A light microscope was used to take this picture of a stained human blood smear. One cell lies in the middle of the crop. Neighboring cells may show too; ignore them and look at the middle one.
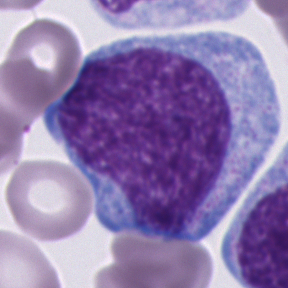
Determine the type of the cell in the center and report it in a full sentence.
At the center of the crop sits a promyelocyte.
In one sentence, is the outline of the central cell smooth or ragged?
A smooth, projection-free outline is what this cell has.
